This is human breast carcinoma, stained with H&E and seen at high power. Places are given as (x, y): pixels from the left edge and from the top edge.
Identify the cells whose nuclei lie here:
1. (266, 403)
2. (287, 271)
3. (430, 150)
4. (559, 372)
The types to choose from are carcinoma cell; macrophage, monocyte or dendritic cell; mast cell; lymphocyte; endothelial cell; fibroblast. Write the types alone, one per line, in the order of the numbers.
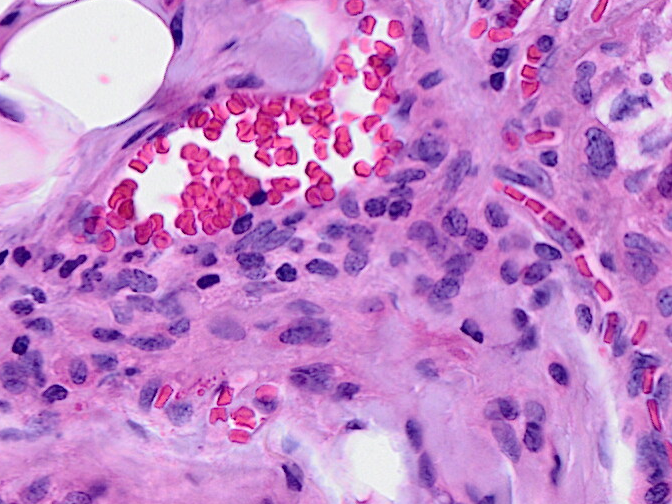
endothelial cell
lymphocyte
endothelial cell
mast cell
